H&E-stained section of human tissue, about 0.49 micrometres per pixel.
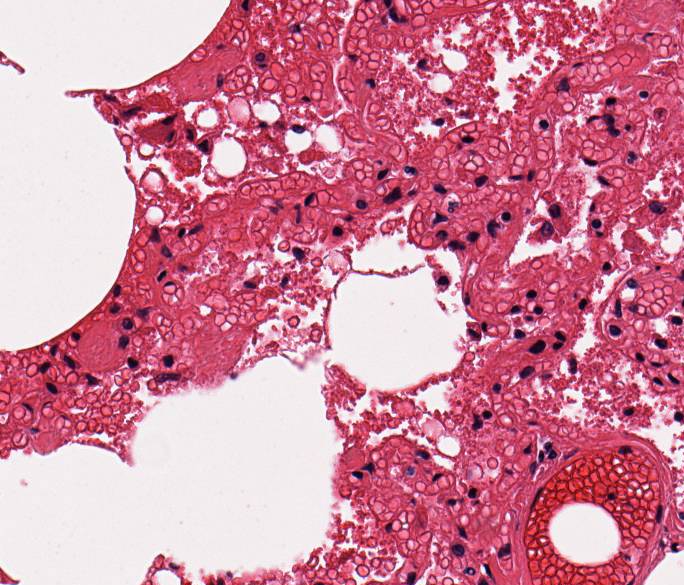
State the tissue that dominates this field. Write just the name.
alveolus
